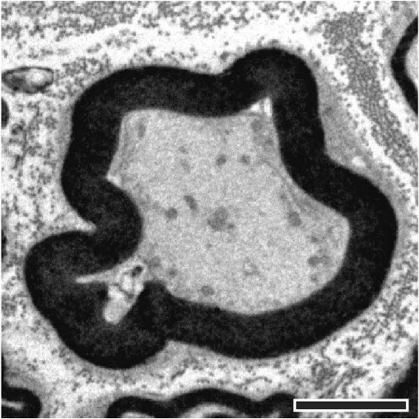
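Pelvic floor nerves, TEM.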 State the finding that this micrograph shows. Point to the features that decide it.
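A thick dark myelin sheath surrounds a pale axon. The sheath follows a wavy, lobulated contour with folds rather than a smooth ring. The answer: outfolding.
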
